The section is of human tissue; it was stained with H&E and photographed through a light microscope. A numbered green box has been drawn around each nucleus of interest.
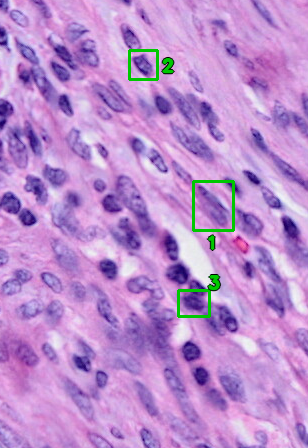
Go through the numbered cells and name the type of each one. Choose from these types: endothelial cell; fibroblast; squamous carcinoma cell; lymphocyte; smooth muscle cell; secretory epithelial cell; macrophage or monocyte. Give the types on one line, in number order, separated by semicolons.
endothelial cell; lymphocyte; lymphocyte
